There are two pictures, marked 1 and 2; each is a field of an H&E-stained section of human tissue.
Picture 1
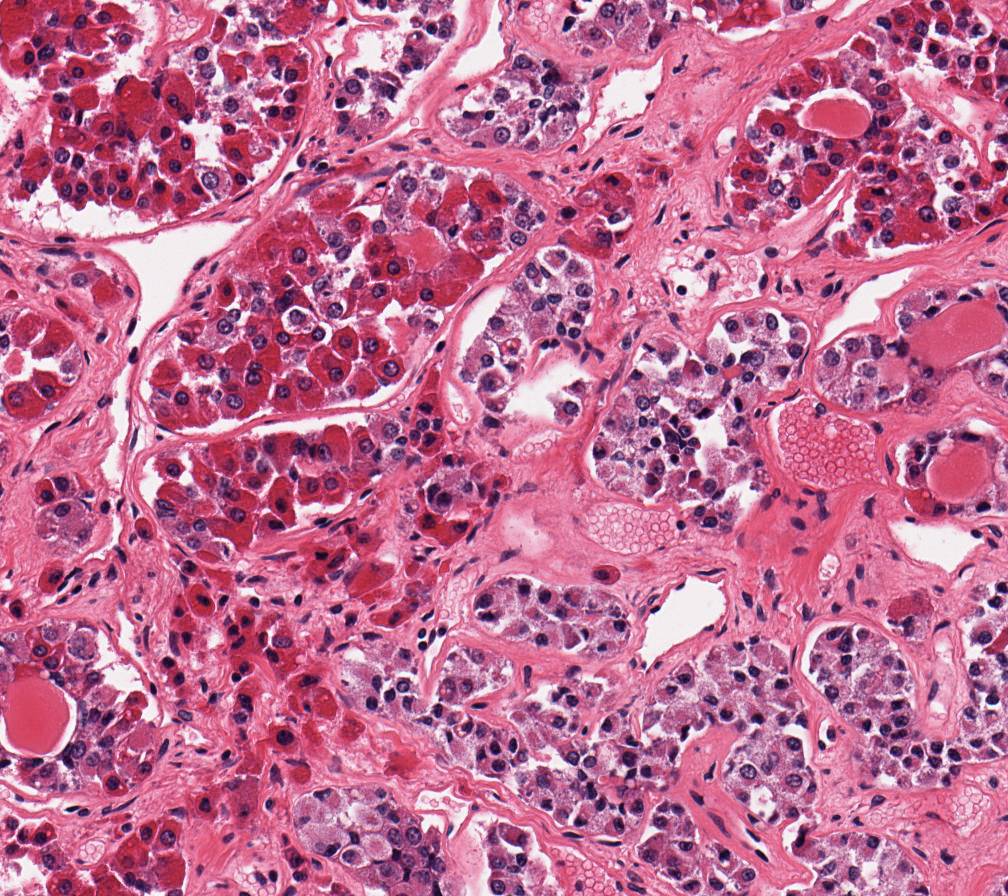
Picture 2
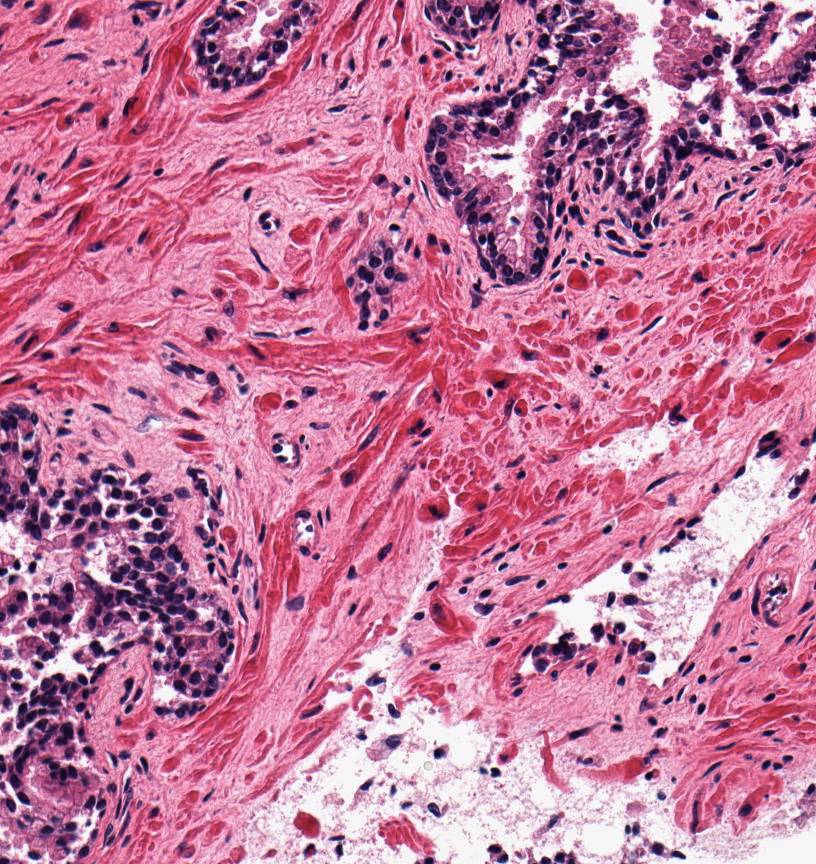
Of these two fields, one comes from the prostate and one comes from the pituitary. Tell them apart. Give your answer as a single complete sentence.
Picture 1 comes from the pituitary and picture 2 comes from the prostate.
